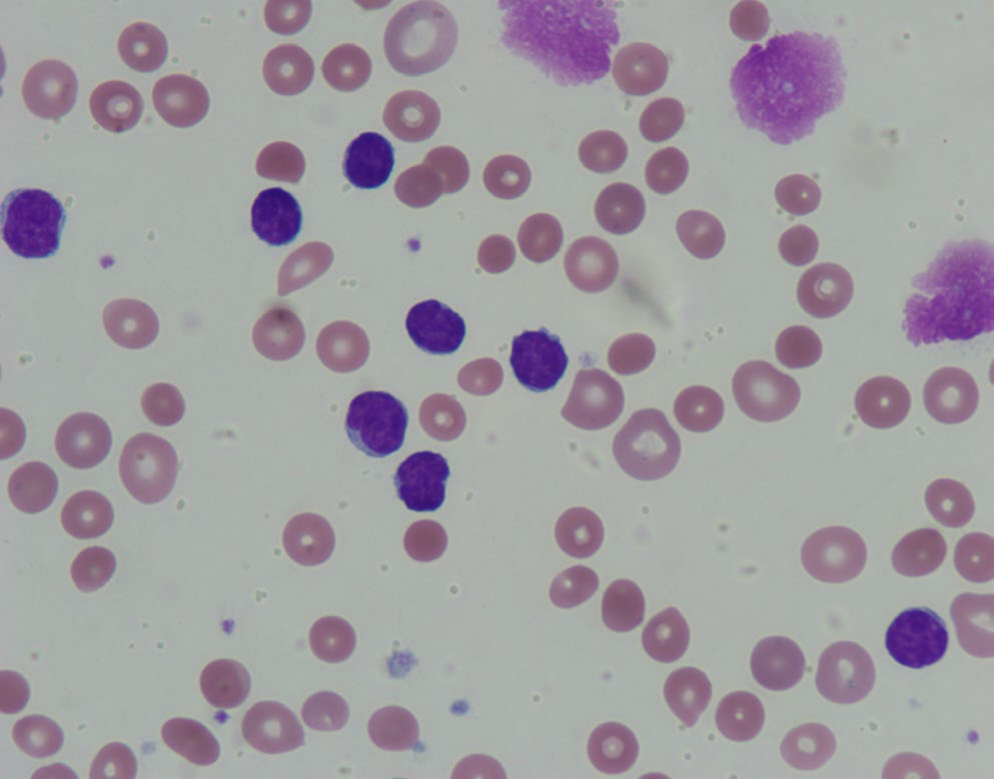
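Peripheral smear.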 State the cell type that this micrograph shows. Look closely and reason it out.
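Scattered small round cells about the size of red cells have dark purple nuclei. These cells have only a thin rim of pale blue cytoplasm. Their nuclear chromatin is dense and clumped.
Answer: lymphoid cells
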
